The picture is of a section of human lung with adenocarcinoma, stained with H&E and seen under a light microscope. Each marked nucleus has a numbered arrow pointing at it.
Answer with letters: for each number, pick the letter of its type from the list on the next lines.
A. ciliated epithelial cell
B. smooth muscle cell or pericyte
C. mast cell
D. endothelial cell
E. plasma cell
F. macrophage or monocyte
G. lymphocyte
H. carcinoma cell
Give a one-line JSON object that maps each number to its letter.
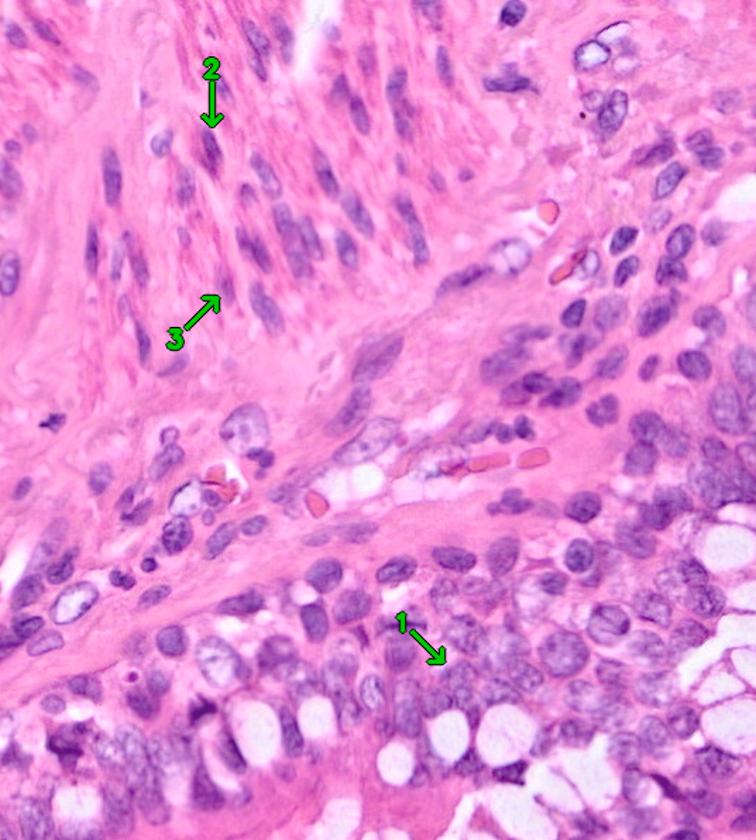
{"1": "A", "2": "B", "3": "B"}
